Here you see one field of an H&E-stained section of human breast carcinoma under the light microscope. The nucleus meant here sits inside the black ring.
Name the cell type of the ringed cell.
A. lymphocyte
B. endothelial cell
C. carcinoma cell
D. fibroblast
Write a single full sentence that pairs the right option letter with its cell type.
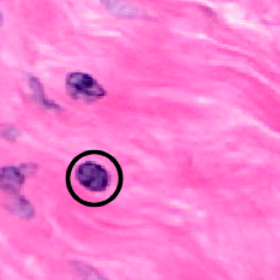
Hey, it is option A: the ringed cell is a lymphocyte.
